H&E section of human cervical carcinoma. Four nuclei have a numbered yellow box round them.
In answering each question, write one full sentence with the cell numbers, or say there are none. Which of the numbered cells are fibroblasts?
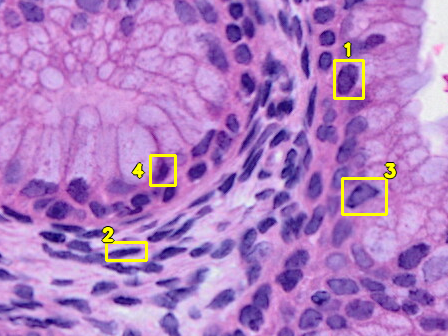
It is cell 2, and no other numbered cell, that is a fibroblast.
